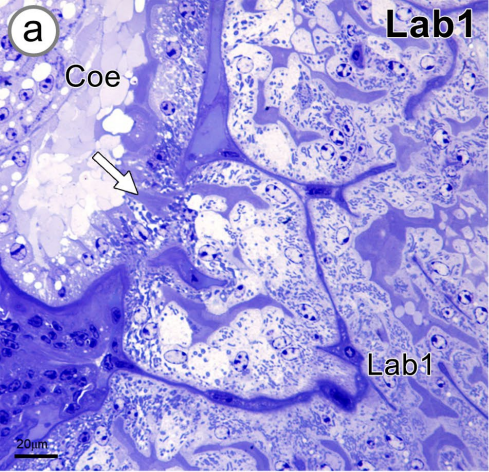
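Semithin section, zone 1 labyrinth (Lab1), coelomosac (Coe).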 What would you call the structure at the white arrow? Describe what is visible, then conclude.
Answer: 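The arrow points to a gap in the wall between the labyrinth tissue and the pale space on the upper left.
An opening.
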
